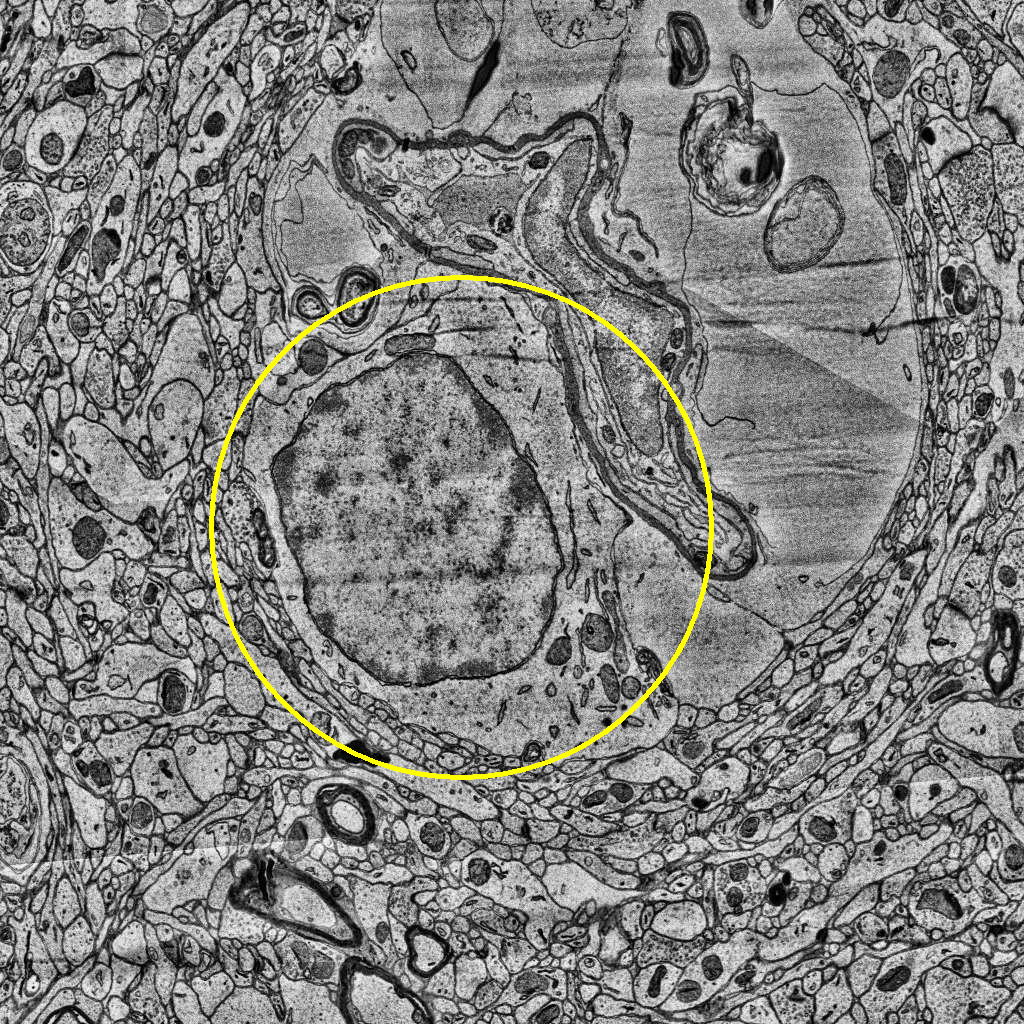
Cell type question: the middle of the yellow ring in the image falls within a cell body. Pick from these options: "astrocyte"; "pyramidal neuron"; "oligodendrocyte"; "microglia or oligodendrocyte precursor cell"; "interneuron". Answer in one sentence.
The cell body at the center of the ring belongs to a microglial cell or oligodendrocyte precursor cell.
